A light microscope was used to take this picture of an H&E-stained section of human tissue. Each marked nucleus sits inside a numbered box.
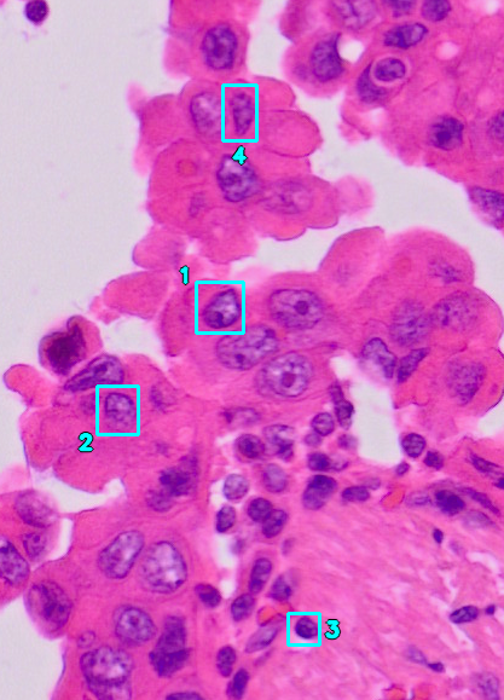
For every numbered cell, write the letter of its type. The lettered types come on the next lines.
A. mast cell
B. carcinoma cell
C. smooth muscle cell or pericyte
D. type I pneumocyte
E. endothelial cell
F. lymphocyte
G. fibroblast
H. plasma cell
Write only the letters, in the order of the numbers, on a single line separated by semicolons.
B; B; F; B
